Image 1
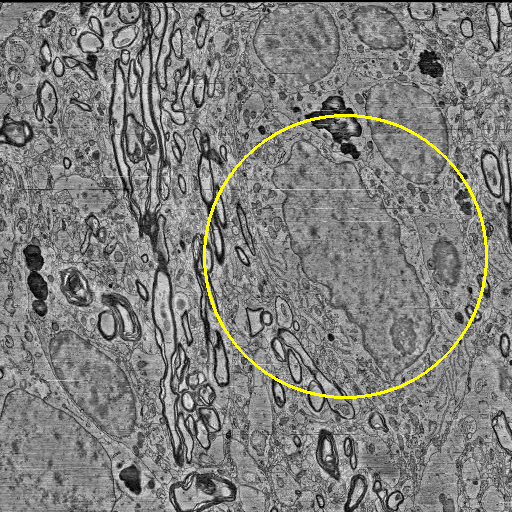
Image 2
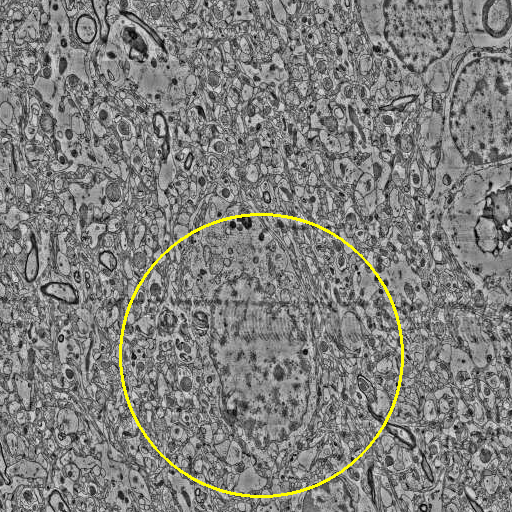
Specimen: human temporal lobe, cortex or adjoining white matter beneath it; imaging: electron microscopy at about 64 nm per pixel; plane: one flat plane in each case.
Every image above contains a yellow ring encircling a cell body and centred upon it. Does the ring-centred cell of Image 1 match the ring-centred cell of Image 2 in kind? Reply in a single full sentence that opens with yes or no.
Yes, the cell at the ring's centre in Image 1 is the same kind as that in Image 2.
